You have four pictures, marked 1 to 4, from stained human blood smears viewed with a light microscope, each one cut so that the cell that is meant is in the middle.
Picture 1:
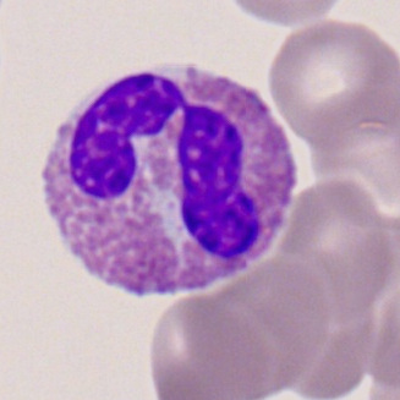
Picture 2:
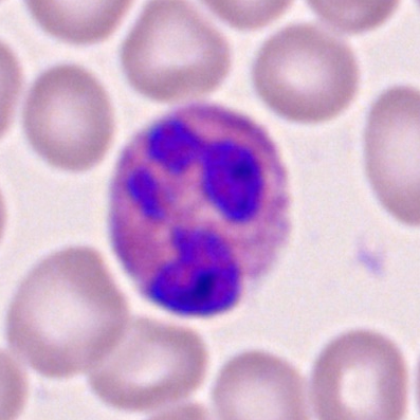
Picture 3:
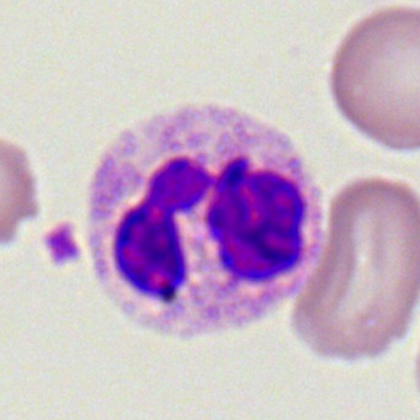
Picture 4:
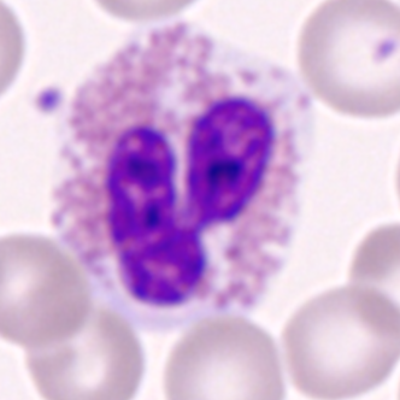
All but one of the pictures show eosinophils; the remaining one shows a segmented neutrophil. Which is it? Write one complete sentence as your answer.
The picture with the segmented neutrophil is 3.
